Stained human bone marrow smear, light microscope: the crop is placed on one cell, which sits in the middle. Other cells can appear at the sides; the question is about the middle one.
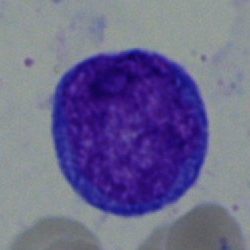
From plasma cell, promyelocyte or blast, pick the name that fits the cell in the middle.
blast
